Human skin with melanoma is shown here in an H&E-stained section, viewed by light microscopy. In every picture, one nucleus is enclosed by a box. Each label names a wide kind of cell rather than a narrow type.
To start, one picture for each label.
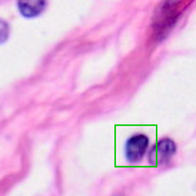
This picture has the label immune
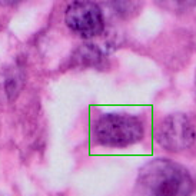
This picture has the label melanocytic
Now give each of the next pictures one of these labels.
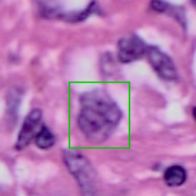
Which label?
melanocytic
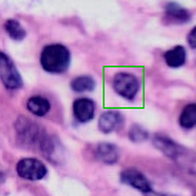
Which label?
immune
